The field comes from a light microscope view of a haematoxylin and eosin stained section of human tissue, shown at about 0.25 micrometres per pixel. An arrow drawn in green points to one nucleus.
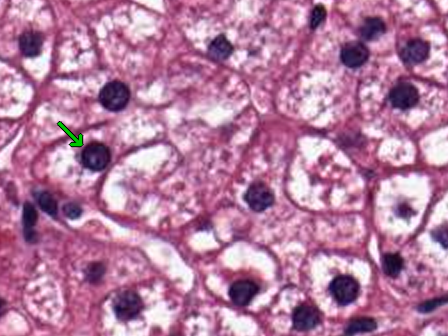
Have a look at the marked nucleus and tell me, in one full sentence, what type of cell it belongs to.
The cell bearing the marked nucleus is an adrenal cortical cell.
